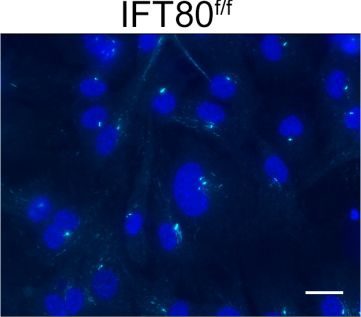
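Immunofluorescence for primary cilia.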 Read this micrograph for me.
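The nuclei are oval to round, scattered rather evenly, and differ somewhat in size, with one larger, brighter nucleus near the middle. Beside many nuclei lies one small, bright cyan dot or short rod, the cilium, usually close to the nuclear edge. Faint cyan fibres run across the background between the cells, tracing parts of the cytoplasm. Cell borders themselves are not clearly seen, and the cells form a loose, unlayered sheet.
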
